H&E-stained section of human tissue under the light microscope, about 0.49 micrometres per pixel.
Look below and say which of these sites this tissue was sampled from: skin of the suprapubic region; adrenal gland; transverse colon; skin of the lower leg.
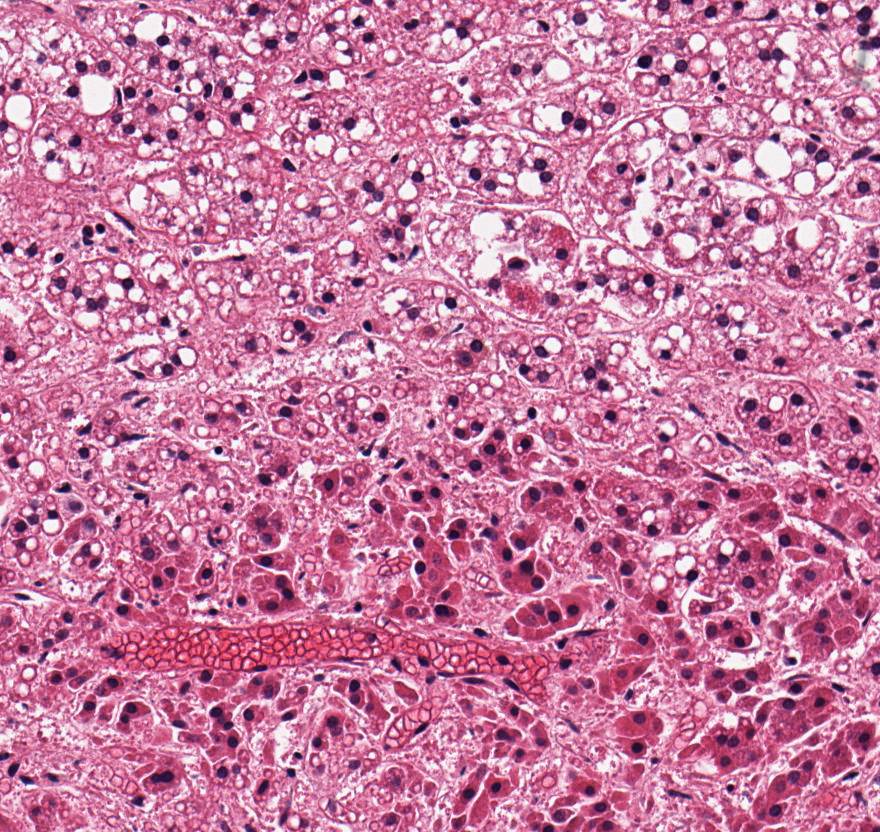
adrenal gland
